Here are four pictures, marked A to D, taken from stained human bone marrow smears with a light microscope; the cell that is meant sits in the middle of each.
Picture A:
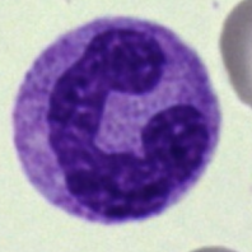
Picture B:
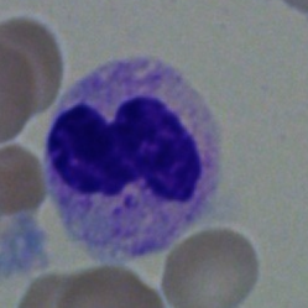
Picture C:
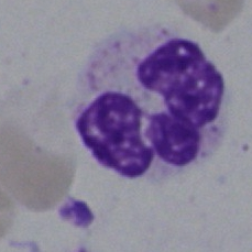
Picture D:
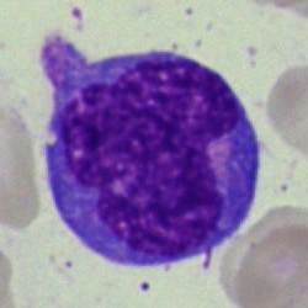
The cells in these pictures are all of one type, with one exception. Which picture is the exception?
D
